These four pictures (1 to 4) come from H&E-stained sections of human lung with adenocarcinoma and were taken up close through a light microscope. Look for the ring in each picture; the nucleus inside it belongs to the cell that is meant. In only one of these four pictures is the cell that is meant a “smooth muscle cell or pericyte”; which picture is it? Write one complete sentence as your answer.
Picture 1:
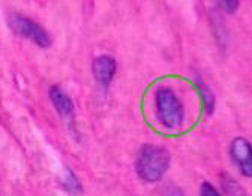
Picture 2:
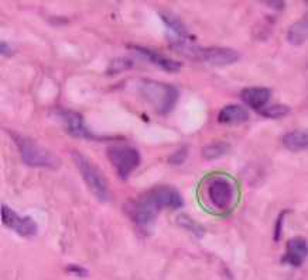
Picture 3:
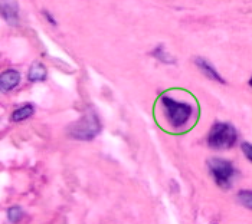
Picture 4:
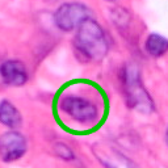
The cell in picture 1 is the “smooth muscle cell or pericyte”.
